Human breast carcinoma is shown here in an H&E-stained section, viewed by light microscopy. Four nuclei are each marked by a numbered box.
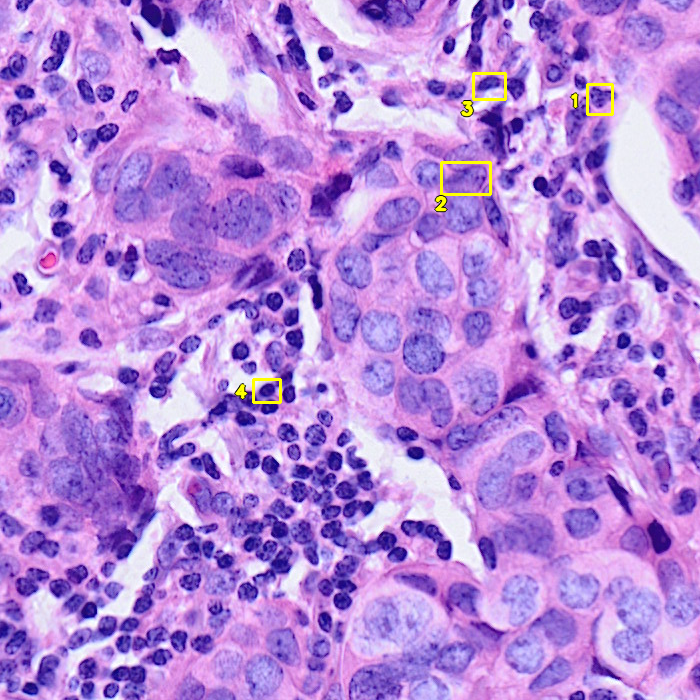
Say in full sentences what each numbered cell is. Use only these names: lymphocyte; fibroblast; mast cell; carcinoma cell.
Cells 1, 3 and 4 are lymphocytes. Cell 2 is a carcinoma cell.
